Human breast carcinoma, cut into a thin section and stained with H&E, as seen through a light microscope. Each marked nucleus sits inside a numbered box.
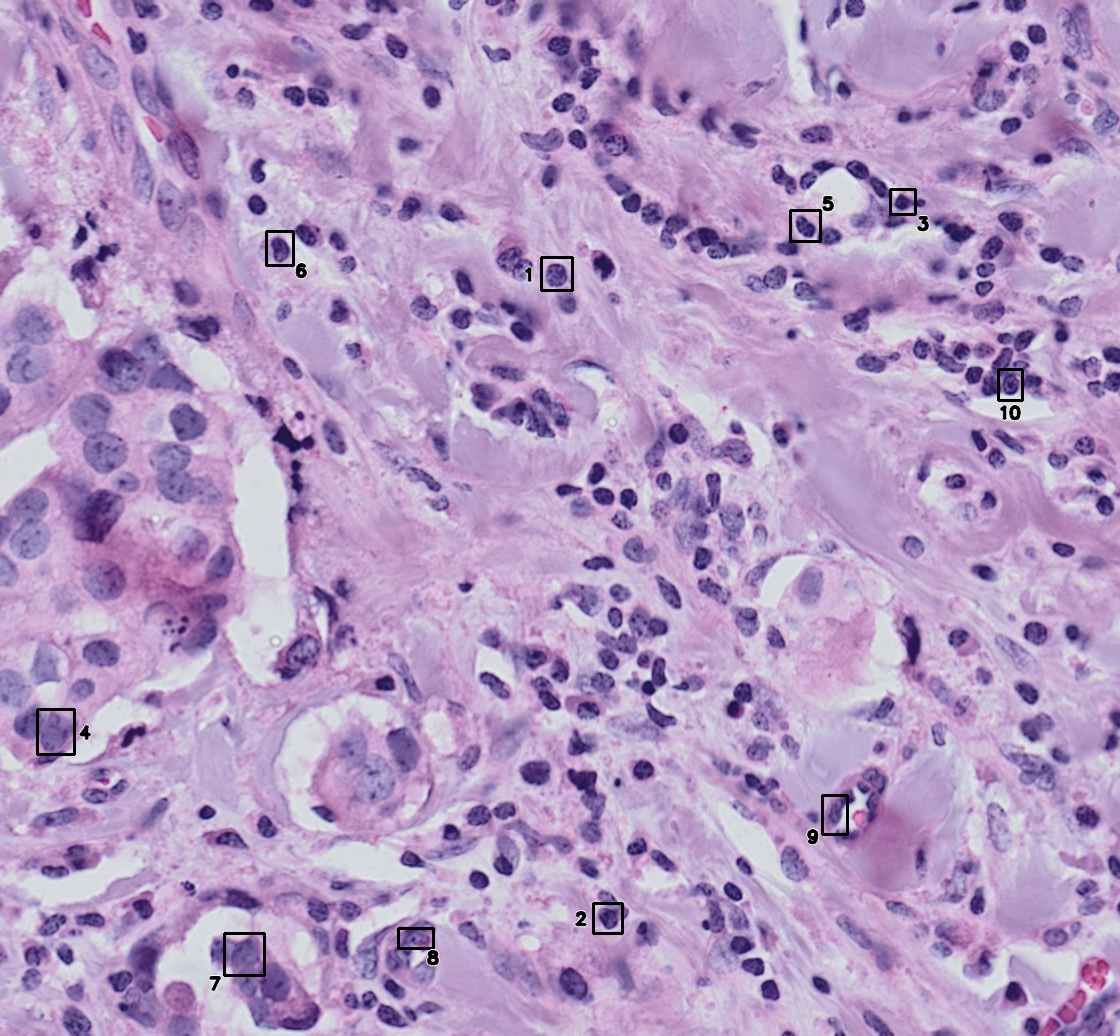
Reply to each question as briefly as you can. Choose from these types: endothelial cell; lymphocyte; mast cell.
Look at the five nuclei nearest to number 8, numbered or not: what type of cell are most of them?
endothelial cell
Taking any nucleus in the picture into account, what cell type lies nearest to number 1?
mast cell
